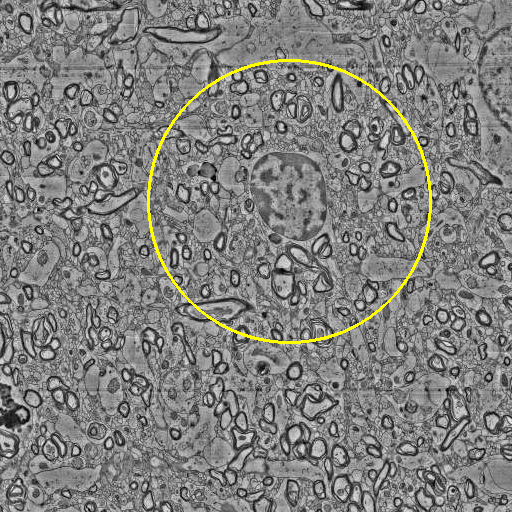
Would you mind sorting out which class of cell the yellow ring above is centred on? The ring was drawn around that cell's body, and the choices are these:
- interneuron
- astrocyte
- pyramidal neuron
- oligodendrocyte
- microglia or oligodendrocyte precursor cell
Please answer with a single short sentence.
This is the cell body of a microglial cell or oligodendrocyte precursor cell.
